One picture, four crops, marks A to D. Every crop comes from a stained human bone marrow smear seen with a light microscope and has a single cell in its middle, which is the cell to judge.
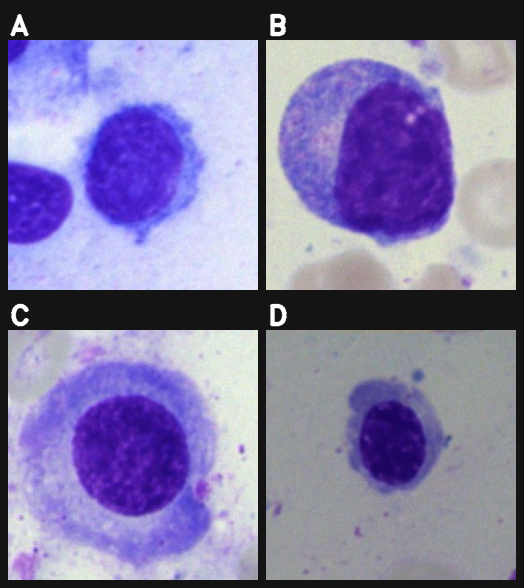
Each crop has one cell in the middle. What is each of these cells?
A: hairy cell
B: promyelocyte
C: plasma cell
D: normoblast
